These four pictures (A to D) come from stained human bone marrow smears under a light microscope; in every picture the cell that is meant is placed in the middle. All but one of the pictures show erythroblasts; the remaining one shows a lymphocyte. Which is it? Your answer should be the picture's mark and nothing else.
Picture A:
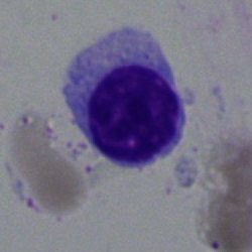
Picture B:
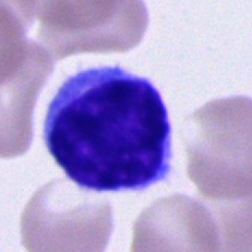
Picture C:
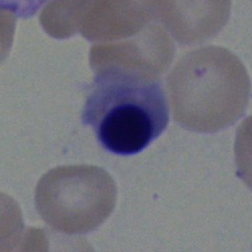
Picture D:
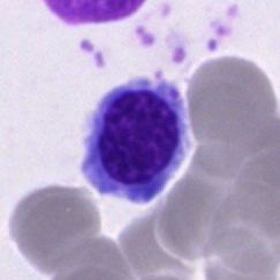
B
